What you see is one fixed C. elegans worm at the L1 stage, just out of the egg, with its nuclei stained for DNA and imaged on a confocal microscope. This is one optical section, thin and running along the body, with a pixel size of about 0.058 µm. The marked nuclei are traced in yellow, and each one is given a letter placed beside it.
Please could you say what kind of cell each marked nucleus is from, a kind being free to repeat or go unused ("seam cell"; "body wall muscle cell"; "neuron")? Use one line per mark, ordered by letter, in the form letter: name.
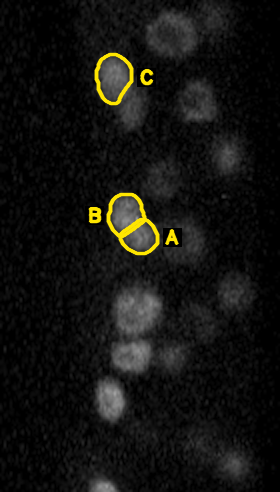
A: neuron
B: body wall muscle cell
C: body wall muscle cell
